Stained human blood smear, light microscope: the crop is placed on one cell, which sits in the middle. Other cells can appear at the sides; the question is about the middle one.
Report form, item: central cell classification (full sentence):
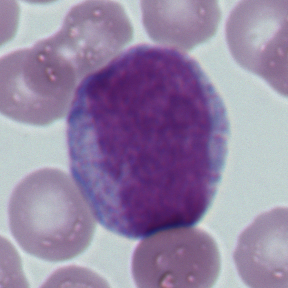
The crop's centre is taken up by a promyelocyte.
